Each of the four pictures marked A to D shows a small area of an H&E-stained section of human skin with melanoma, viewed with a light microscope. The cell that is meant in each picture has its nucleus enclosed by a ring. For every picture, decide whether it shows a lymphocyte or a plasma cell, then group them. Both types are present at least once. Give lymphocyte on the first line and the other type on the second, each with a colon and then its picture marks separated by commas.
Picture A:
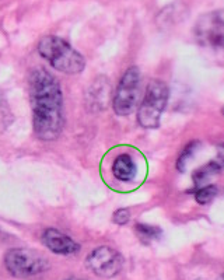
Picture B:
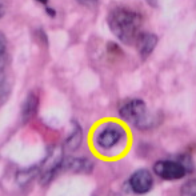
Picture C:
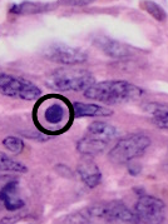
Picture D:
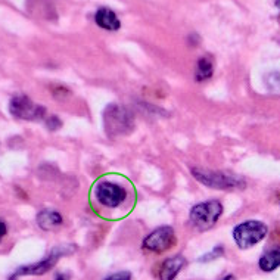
lymphocyte: A, B, C
plasma cell: D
